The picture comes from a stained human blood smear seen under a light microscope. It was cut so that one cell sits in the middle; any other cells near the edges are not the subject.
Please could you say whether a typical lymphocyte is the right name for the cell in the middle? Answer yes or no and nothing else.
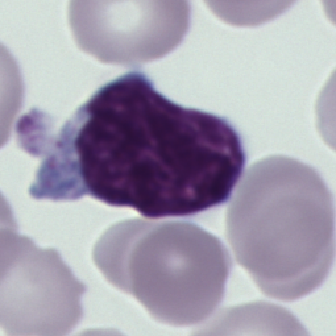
yes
